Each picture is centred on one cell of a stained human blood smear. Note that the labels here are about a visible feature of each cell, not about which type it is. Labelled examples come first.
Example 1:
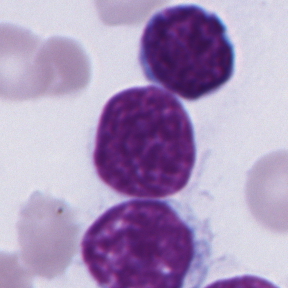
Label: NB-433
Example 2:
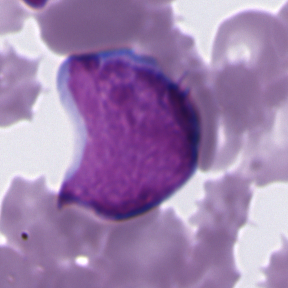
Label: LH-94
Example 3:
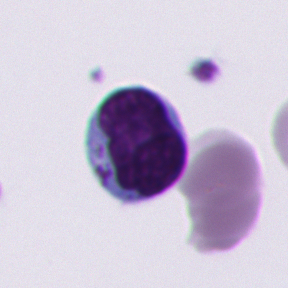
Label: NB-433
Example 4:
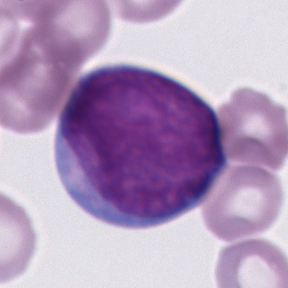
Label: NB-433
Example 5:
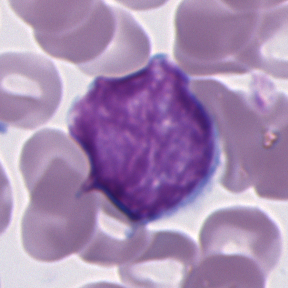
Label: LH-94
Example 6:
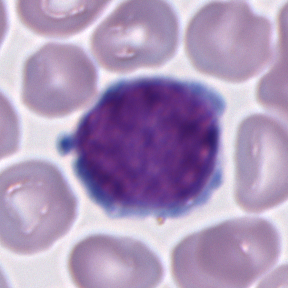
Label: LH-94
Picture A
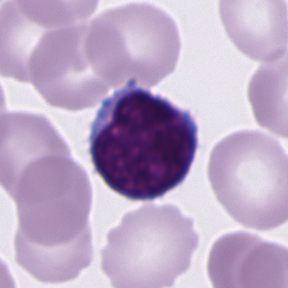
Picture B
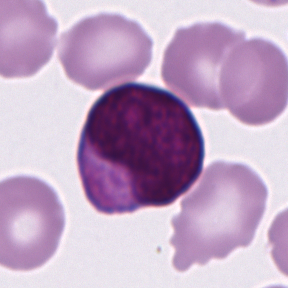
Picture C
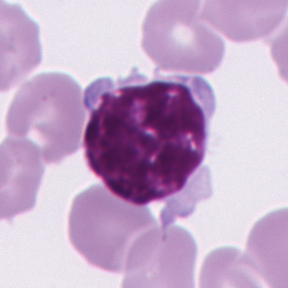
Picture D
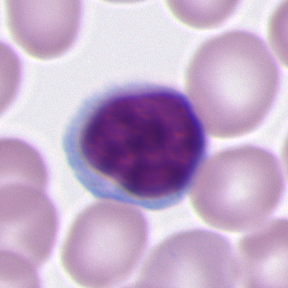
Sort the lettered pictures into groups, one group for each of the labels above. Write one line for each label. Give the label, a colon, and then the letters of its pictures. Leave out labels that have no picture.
NB-433: B, D
LH-94: A, C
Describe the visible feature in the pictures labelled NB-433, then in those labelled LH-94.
In NB-433: smooth outline. In LH-94: ragged outline or projections.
